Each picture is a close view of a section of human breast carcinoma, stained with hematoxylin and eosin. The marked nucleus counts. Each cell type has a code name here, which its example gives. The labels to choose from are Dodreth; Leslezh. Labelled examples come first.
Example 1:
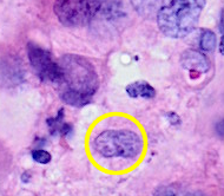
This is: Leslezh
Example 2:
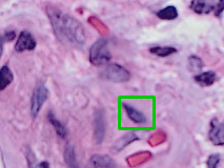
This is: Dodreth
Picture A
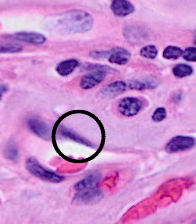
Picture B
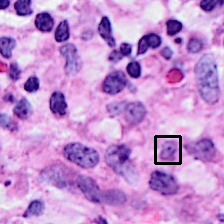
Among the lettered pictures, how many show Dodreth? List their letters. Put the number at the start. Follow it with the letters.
Count: 1 (A)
